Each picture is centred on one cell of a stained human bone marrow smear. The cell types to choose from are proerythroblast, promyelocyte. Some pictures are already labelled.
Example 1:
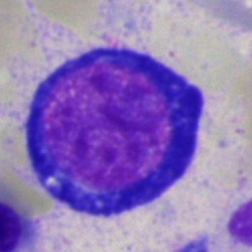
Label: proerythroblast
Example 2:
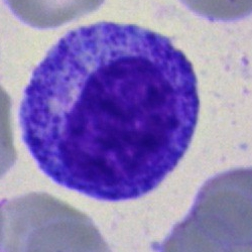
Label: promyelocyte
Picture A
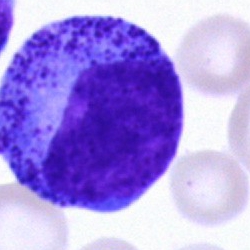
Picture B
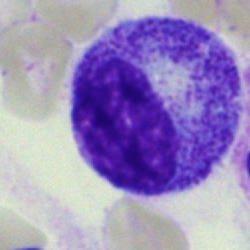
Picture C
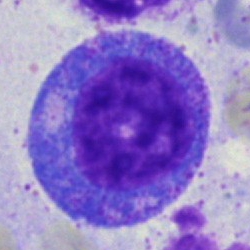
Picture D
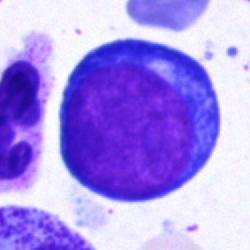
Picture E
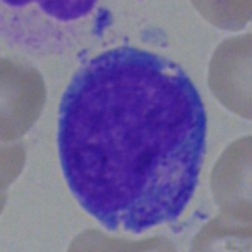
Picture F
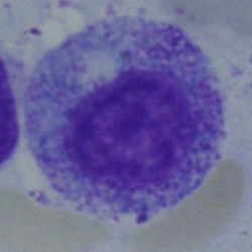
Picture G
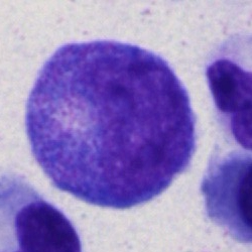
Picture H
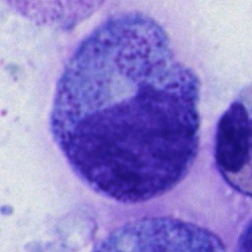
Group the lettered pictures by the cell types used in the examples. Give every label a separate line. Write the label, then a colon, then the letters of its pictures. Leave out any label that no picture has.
proerythroblast: D
promyelocyte: A, B, C, E, F, G, H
